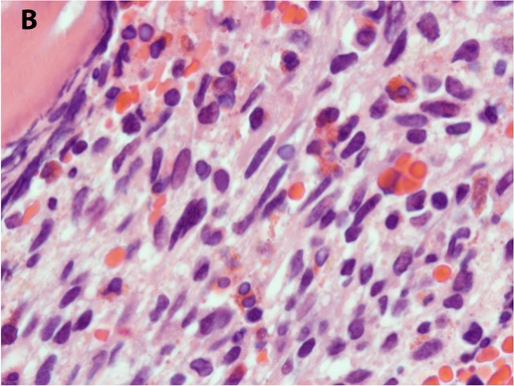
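Bone marrow at high power shows an aggregate of mast cells with marked spindle cell form lying next to a pink bony trabecula at the upper left. The cells have elongated, oval to cigar-shaped nuclei with fine chromatin and pale pink, ill-defined cytoplasm, and they are arranged in streaming bundles running diagonally across the field. Scattered among them are red blood cells and cells packed with bright orange-red granules, consistent with eosinophils. Smaller, round dark nuclei of lymphocytes are also interspersed. Normal marrow fat and mixed blood-forming cells are largely replaced by this spindle cell proliferation.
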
